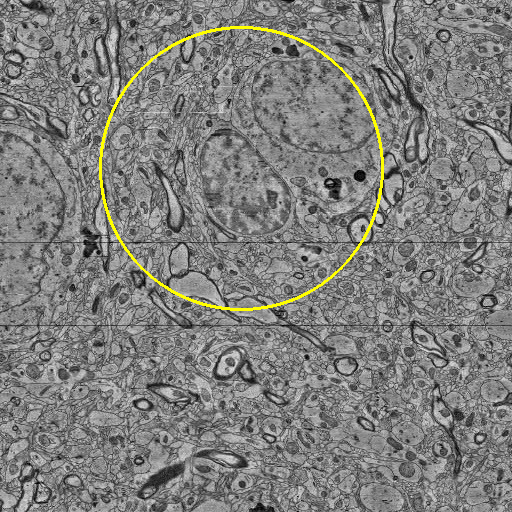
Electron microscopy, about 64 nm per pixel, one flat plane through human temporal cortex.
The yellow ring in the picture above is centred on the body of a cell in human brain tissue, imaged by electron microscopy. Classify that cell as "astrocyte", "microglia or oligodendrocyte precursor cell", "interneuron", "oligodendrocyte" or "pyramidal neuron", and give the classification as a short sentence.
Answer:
The cell in the middle of the ring is an oligodendrocyte.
